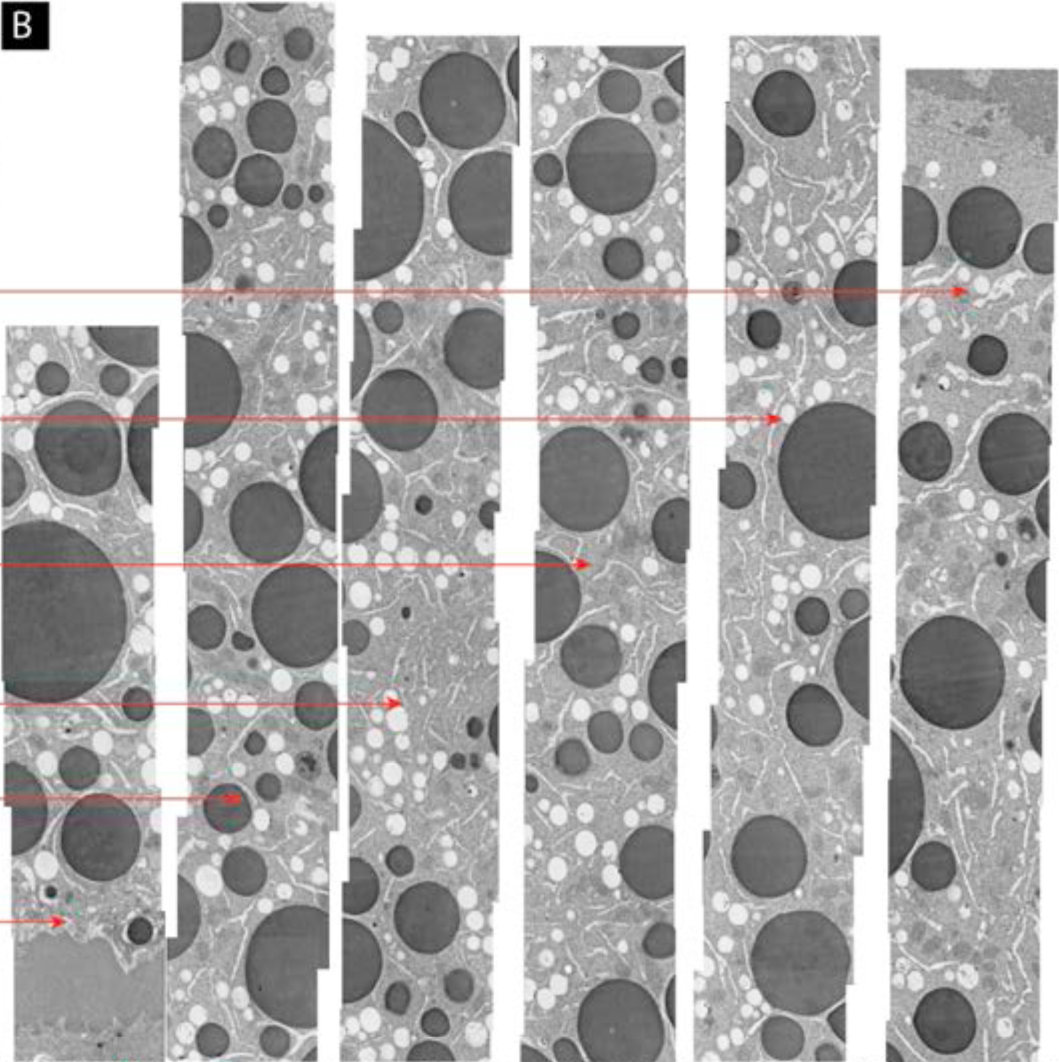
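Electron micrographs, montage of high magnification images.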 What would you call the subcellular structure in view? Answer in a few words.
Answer: Ooplasm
